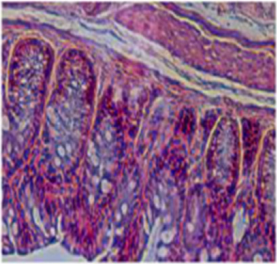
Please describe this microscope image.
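This section of colon shows the mucosa with a row of long crypts cut lengthwise, resting on a band of pink smooth muscle. The crypts are tubular glands lined by a single layer of tall columnar epithelial cells with dark purple, basally placed nuclei. Between these cells lie numerous rounded, pale, clear goblet cells, giving the crypts a bubbly look. Purple-staining lamina propria fills the narrow spaces between neighbouring crypts. At the top of the field, a pale, loose layer separates the mucosa from layered pink muscle fibres running parallel to the surface, forming the outer muscular wall.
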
